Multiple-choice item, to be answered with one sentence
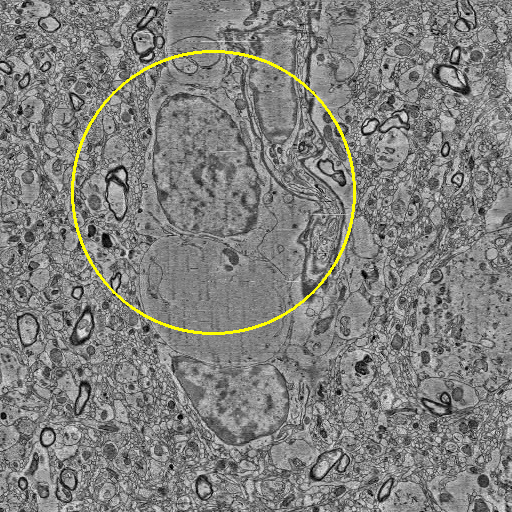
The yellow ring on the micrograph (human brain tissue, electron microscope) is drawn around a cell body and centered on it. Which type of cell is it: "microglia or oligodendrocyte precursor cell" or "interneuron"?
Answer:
The ring is centered on a microglial cell or oligodendrocyte precursor cell.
